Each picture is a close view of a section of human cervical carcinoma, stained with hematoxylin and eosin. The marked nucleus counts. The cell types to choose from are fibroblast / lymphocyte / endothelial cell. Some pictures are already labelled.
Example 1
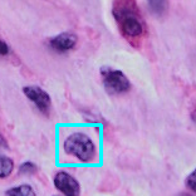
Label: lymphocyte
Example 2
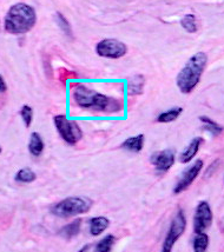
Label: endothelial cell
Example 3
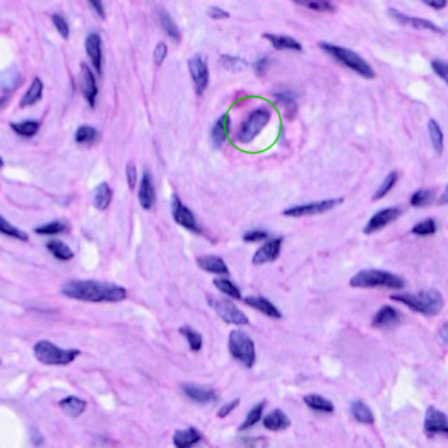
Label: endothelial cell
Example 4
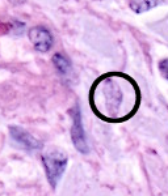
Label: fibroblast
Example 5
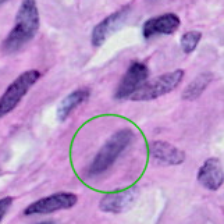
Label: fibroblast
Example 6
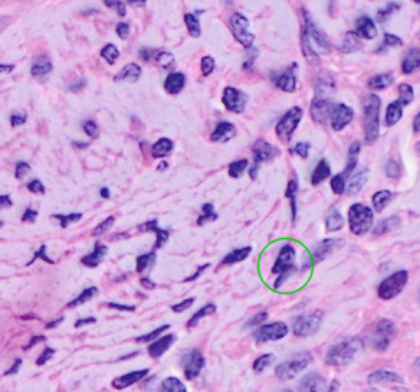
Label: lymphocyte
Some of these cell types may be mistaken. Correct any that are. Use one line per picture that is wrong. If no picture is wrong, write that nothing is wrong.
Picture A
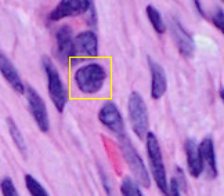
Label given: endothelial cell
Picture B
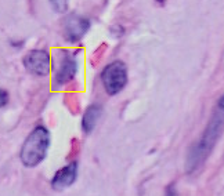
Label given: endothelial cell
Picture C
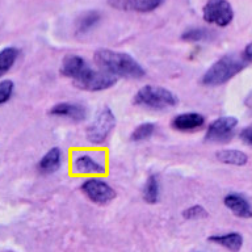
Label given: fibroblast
Every label is right.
